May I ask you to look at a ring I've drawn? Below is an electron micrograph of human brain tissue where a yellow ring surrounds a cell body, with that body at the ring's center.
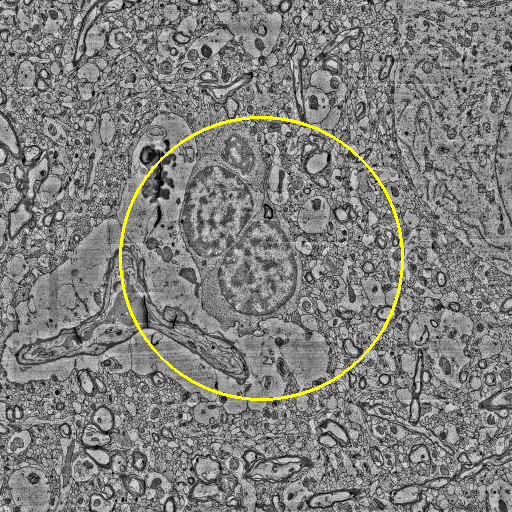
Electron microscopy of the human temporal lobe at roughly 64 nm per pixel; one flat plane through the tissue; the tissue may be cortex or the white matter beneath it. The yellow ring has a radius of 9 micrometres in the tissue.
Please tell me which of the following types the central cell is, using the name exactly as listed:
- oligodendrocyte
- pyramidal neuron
oligodendrocyte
